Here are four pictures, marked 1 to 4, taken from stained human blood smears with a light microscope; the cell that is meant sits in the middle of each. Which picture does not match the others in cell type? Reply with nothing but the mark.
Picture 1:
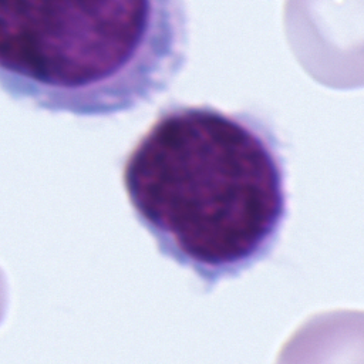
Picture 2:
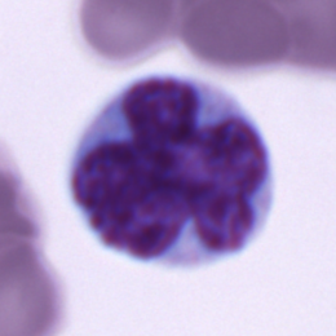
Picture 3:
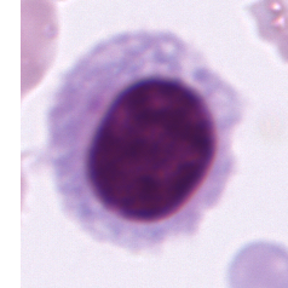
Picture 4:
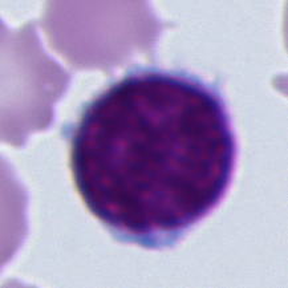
2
